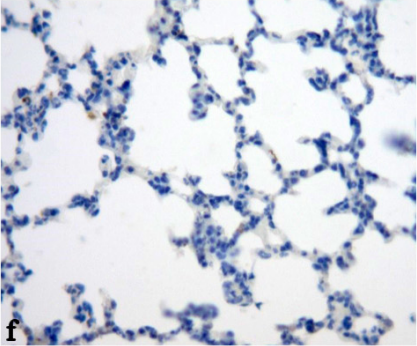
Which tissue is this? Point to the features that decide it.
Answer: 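Lungs. Thin alveolar septa around large empty air spaces.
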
